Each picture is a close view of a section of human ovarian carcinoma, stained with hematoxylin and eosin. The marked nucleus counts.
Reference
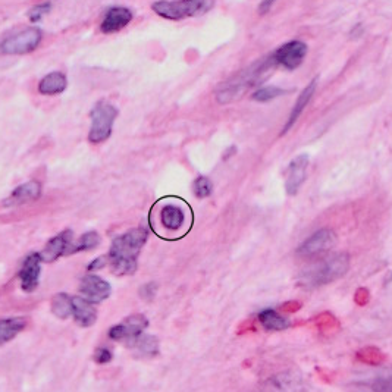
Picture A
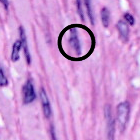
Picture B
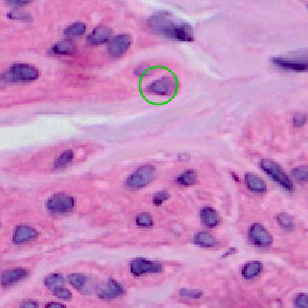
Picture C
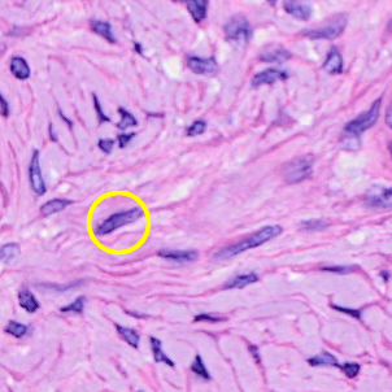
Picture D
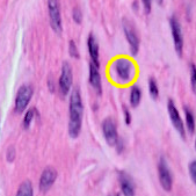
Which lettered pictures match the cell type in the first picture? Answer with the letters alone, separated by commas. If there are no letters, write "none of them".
none of them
